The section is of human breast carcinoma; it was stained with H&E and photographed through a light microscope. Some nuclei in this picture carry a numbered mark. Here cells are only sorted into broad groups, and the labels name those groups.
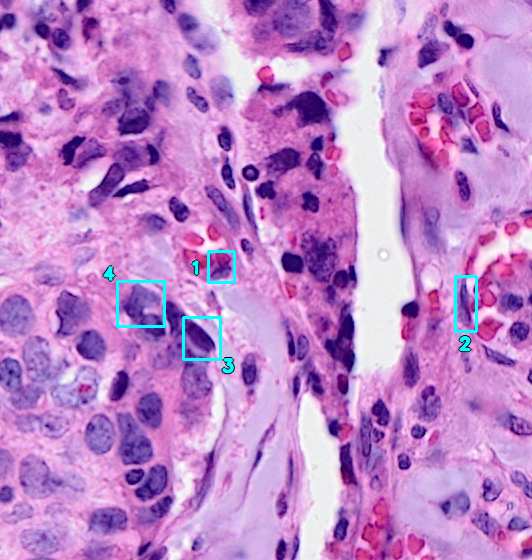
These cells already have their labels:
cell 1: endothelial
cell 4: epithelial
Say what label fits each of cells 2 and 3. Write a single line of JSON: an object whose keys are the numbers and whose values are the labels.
{"2": "endothelial", "3": "epithelial"}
